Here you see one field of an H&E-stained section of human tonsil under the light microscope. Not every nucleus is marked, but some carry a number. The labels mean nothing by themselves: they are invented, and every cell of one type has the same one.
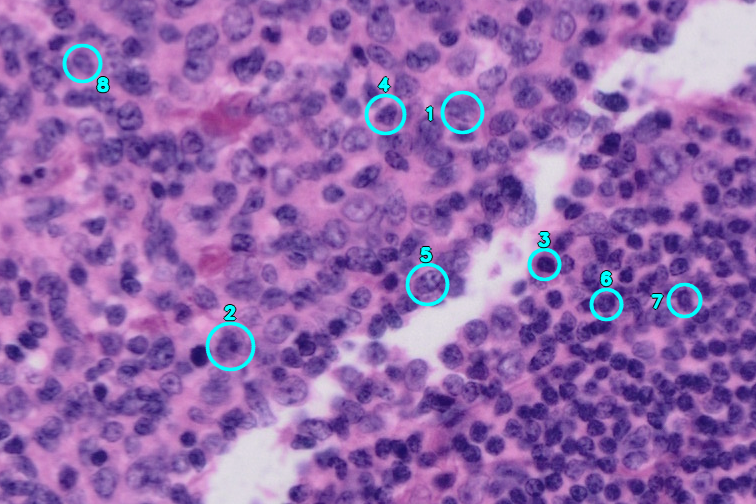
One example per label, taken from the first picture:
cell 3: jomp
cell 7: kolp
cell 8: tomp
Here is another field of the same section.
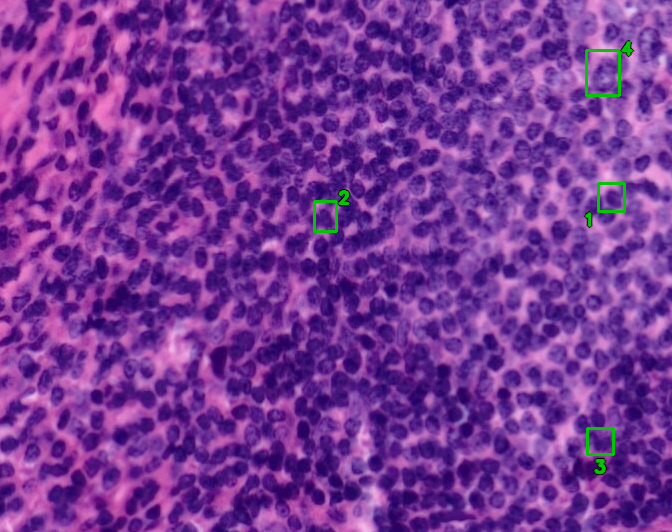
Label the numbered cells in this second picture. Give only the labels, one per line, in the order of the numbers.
kolp
kolp
kolp
tomp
